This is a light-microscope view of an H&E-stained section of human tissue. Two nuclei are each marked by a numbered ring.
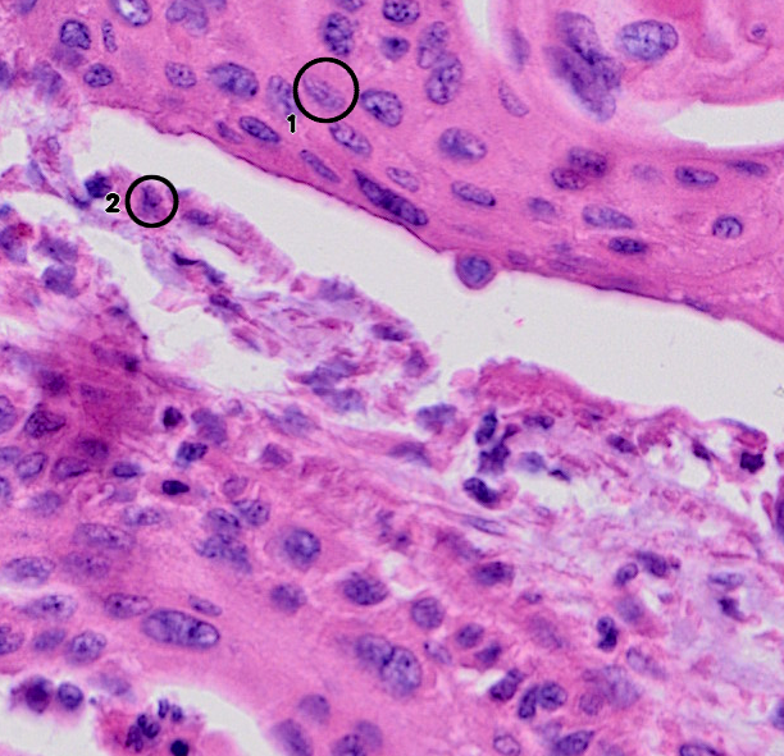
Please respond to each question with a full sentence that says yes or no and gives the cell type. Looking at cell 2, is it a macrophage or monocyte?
Yes, the cell marked by the number 2 is a macrophage or monocyte.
